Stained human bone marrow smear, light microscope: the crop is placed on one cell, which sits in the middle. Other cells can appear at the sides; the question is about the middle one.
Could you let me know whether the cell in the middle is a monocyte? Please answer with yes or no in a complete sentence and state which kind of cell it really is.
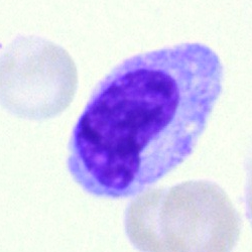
No, the cell centered in the crop is a metamyelocyte, not a monocyte.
